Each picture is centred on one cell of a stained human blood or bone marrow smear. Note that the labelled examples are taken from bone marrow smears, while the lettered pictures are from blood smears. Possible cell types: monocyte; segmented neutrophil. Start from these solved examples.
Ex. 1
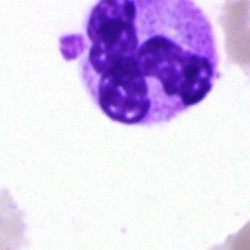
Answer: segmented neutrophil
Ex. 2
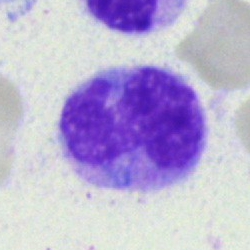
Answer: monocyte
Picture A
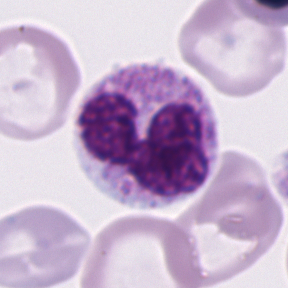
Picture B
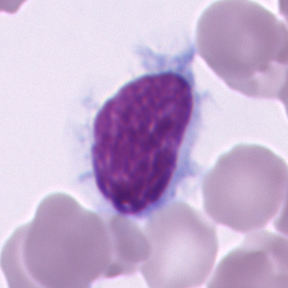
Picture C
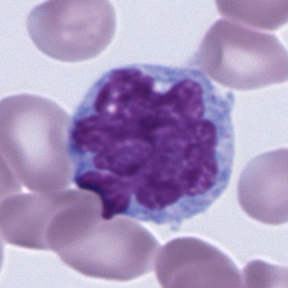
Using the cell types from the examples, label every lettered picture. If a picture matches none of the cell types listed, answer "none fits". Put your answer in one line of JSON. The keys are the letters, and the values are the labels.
{"A": "segmented neutrophil", "B": "none fits", "C": "monocyte"}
